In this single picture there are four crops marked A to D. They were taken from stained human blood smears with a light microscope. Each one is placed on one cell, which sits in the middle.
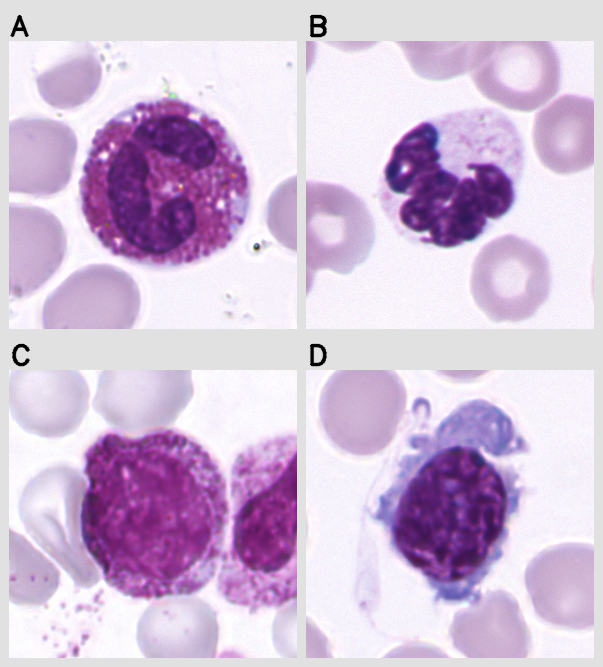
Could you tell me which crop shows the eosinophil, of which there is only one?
A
